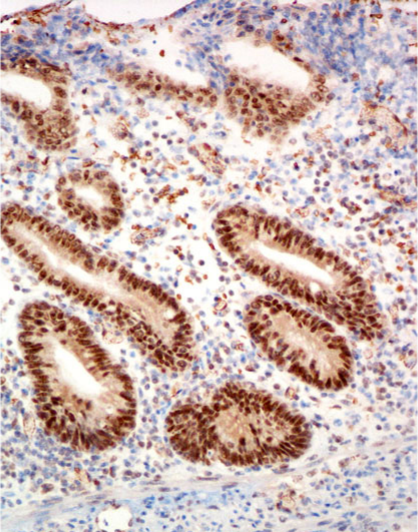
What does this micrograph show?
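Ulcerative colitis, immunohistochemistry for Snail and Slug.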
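These are colonic crypts cut across, each lined by a single layer of tall columnar epithelial cells around a central lumen. Their nuclei stain dark brown and the cytoplasm a paler brown, while the lamina propria between the crypts is filled with scattered inflammatory cells, some of which also take up brown stain.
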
